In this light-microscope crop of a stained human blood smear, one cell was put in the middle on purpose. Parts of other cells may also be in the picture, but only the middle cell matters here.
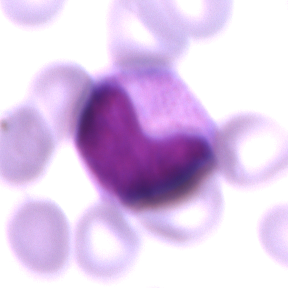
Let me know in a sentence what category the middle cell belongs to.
At the middle of the frame sits a band neutrophil.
